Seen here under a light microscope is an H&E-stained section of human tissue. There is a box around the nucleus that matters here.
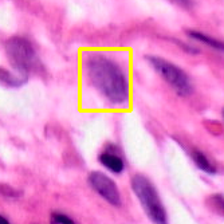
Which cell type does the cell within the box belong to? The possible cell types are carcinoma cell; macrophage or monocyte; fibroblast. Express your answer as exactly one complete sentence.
In this section of tissue, the cell within the box is a fibroblast.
